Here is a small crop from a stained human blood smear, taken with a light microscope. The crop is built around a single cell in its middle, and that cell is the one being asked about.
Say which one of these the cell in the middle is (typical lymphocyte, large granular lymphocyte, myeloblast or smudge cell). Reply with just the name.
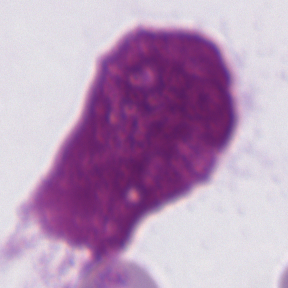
smudge cell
